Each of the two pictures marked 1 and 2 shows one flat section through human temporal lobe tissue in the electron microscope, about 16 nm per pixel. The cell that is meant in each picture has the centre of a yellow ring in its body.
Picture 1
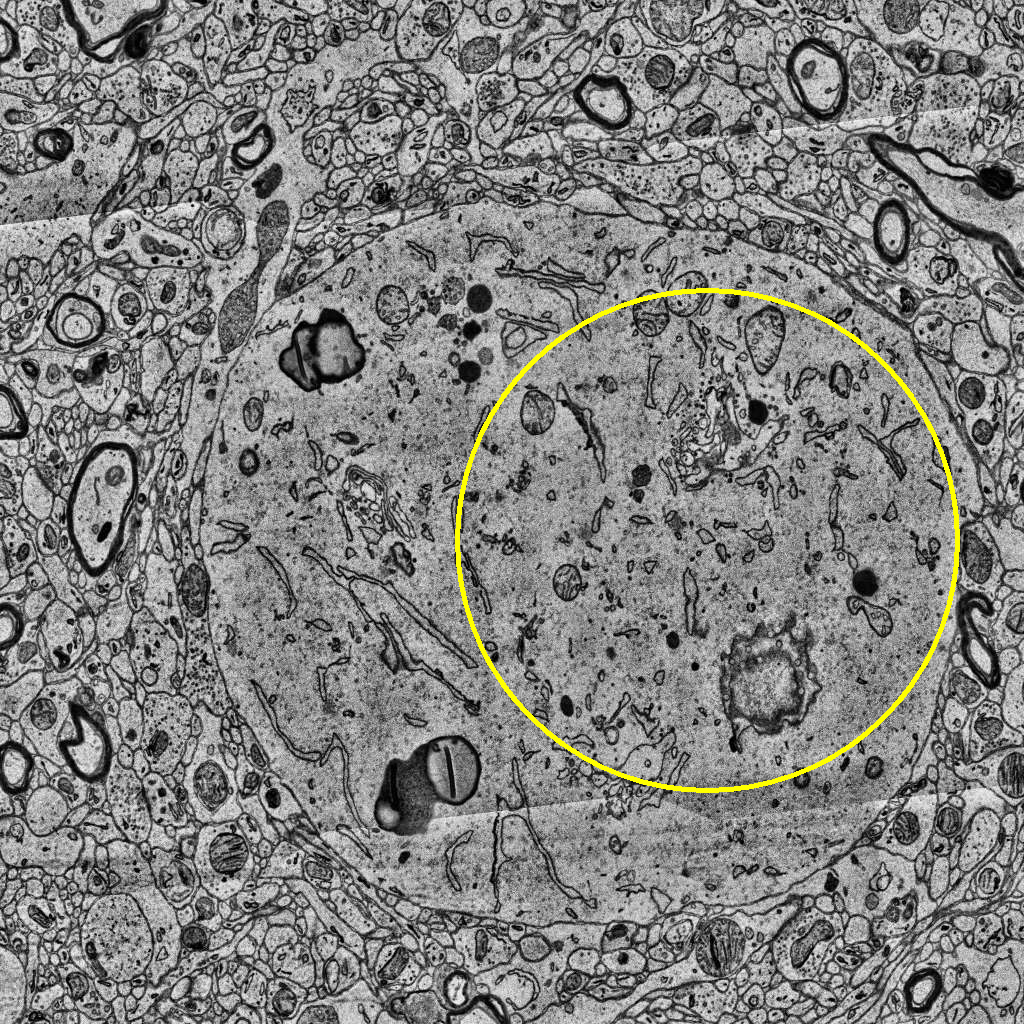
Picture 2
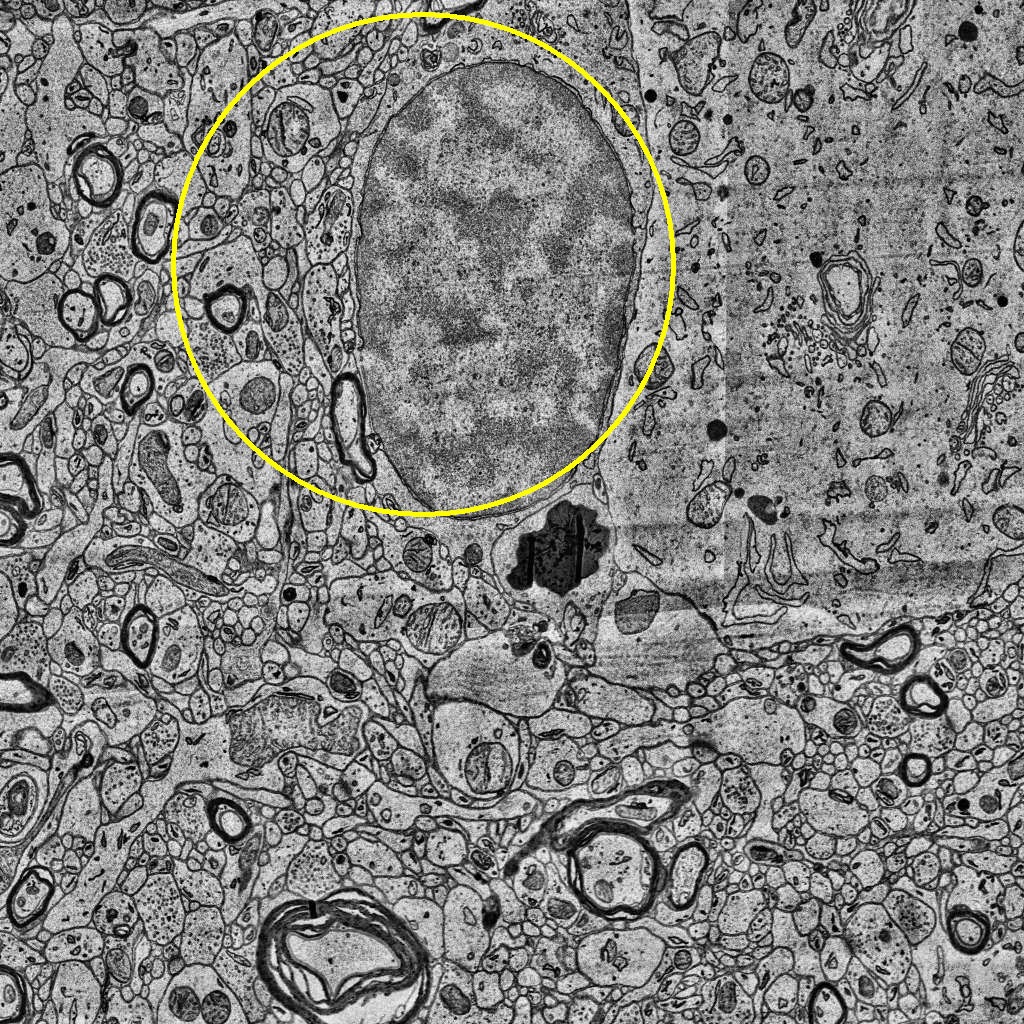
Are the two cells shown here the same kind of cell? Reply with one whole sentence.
No; the cell in picture 1 is a pyramidal neuron, while the one in picture 2 is an oligodendrocyte.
